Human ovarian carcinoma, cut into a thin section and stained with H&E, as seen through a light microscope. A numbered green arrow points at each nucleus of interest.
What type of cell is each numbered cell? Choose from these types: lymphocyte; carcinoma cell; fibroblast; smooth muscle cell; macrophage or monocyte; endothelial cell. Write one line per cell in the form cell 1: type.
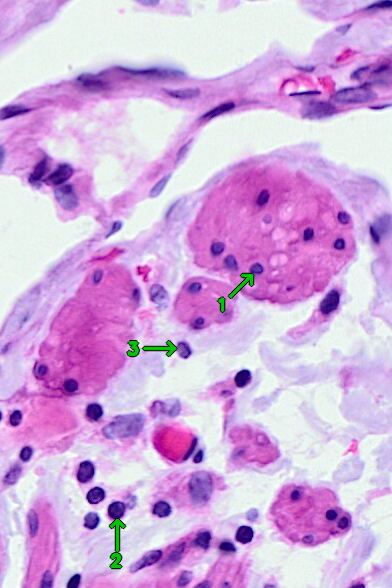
cell 1: smooth muscle cell
cell 2: lymphocyte
cell 3: lymphocyte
